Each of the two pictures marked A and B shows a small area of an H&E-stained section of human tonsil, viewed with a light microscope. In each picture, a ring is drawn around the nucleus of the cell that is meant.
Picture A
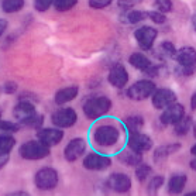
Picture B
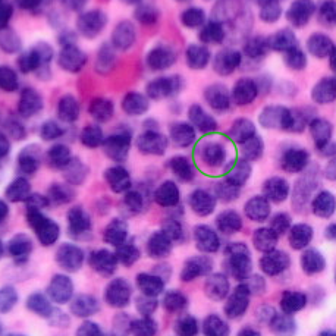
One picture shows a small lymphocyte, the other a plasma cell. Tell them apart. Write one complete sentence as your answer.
Picture B shows a small lymphocyte, while picture A shows a plasma cell.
